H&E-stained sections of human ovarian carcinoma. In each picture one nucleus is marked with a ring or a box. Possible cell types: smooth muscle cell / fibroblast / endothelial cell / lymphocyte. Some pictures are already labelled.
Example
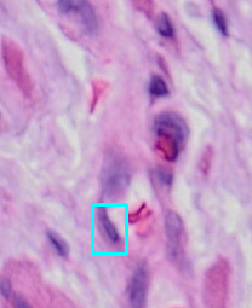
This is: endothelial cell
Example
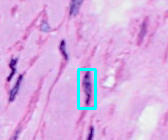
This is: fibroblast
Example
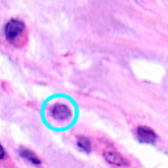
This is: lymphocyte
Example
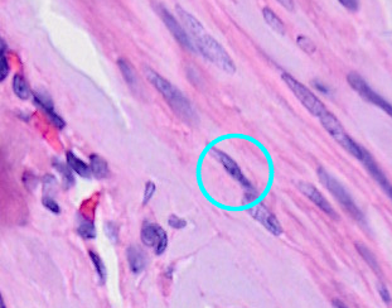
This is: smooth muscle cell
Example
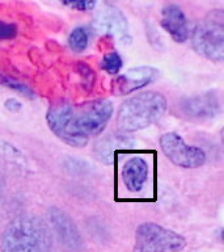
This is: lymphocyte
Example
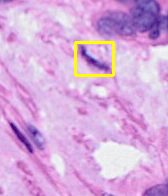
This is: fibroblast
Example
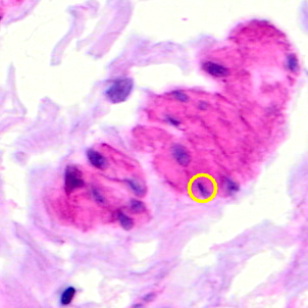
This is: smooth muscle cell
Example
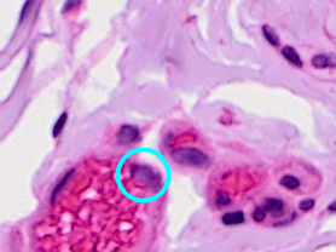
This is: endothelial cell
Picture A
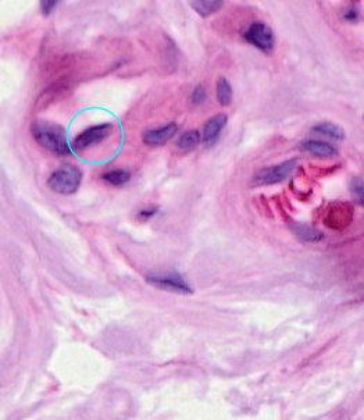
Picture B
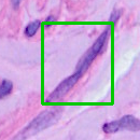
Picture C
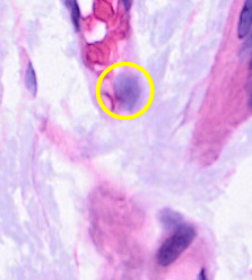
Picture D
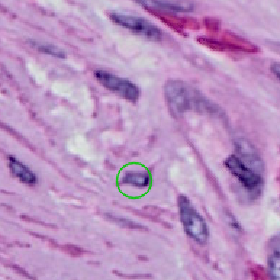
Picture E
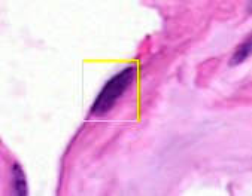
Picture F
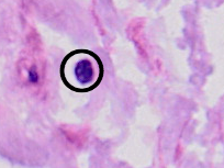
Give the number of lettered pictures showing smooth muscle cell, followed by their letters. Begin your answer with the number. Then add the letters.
Count: 1 (B)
